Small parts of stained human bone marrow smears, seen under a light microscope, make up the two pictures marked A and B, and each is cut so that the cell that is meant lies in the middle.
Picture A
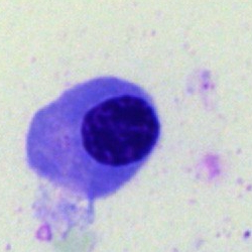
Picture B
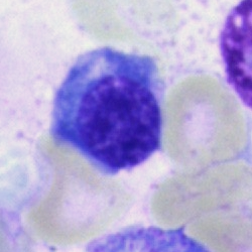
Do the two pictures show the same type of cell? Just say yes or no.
yes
